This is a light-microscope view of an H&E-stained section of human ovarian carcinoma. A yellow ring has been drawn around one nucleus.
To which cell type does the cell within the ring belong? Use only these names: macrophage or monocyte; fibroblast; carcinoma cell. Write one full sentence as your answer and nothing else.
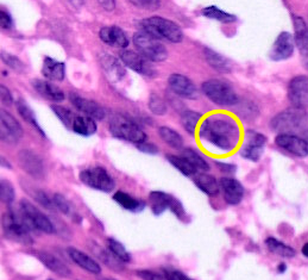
So far as cell type goes, the cell within the ring is a carcinoma cell.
